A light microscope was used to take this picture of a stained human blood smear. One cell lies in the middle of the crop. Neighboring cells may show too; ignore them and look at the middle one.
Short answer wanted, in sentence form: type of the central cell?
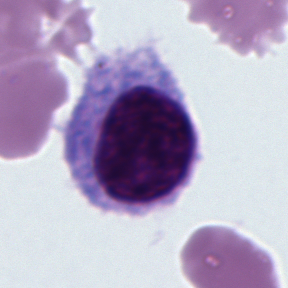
Present in the middle of the crop is a hairy cell.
